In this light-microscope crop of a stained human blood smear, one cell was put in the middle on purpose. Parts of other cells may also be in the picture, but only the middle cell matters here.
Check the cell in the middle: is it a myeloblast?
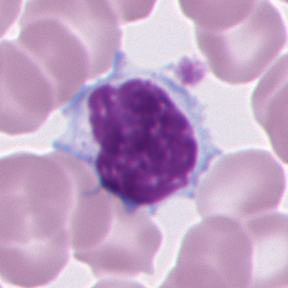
no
